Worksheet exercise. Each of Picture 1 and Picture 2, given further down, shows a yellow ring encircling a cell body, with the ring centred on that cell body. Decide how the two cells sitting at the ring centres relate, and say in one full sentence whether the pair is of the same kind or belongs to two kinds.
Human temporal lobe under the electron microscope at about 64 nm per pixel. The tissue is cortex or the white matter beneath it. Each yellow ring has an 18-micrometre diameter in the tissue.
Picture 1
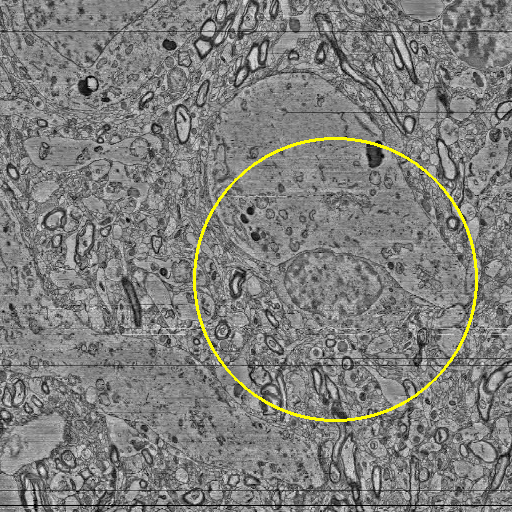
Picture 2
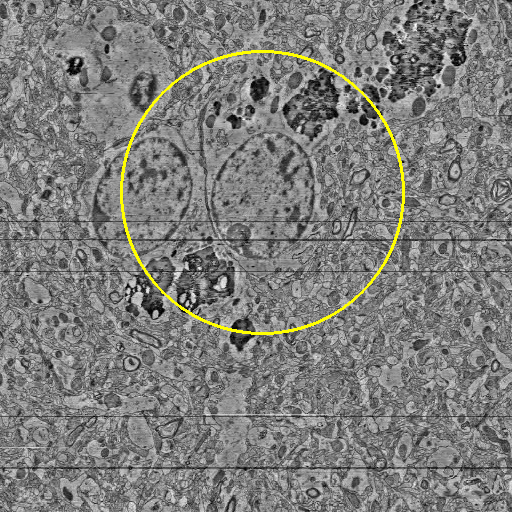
The cells at the ring centres in Picture 1 and Picture 2 belong to two kinds.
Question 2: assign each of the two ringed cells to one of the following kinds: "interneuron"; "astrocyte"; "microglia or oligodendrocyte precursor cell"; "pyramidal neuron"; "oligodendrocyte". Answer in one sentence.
The two cells are an oligodendrocyte in the first picture and an astrocyte in the second.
